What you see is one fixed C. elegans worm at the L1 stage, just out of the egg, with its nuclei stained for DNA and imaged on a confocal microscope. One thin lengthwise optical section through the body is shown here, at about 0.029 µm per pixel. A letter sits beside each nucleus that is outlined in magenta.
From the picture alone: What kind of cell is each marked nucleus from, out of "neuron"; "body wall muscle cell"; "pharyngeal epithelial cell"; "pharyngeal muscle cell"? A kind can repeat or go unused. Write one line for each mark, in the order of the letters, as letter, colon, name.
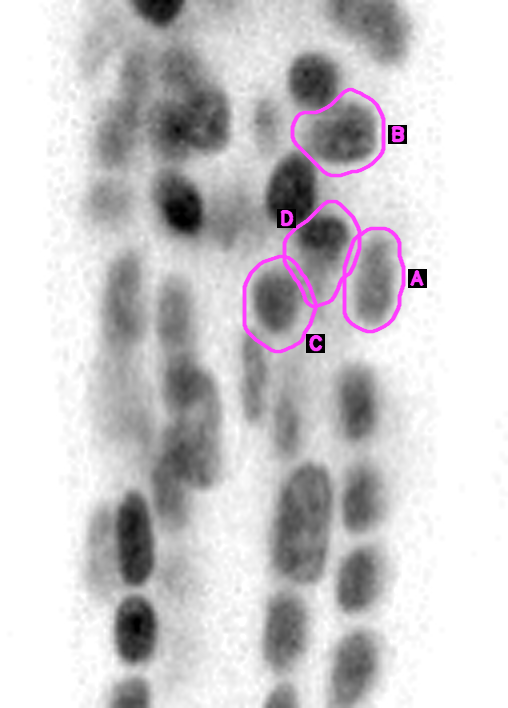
A: body wall muscle cell
B: pharyngeal muscle cell
C: neuron
D: pharyngeal muscle cell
